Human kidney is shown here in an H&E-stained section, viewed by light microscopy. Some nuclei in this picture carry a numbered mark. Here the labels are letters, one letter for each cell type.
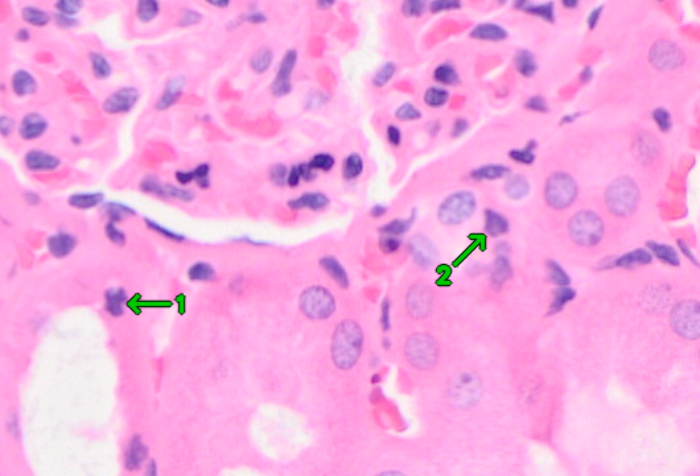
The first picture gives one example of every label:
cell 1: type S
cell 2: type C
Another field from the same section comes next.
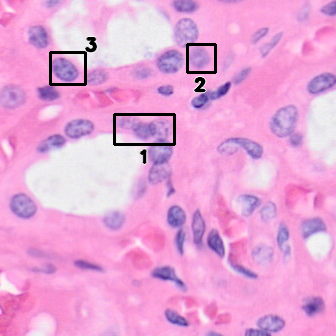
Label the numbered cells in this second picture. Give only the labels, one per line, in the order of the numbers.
type C
type C
type S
